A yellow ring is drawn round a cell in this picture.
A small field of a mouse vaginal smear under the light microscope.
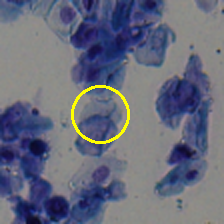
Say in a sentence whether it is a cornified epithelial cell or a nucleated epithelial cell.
The cell in the ring is a cornified epithelial cell.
